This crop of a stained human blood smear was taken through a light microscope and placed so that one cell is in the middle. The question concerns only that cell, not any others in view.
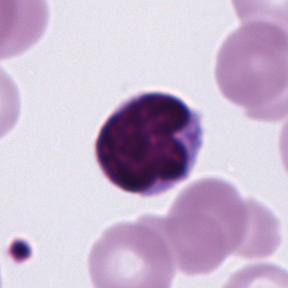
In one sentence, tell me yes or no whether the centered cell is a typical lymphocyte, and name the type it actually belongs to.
Yes, the cell in the middle of this smear crop is a typical lymphocyte.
